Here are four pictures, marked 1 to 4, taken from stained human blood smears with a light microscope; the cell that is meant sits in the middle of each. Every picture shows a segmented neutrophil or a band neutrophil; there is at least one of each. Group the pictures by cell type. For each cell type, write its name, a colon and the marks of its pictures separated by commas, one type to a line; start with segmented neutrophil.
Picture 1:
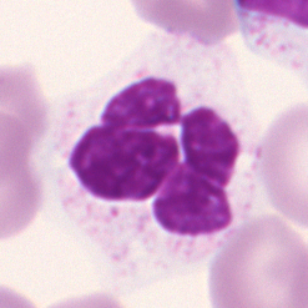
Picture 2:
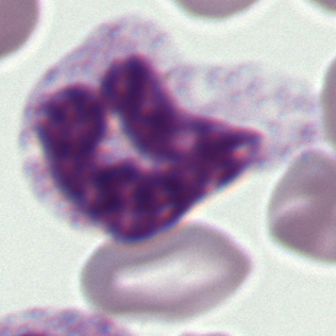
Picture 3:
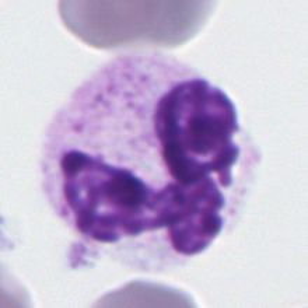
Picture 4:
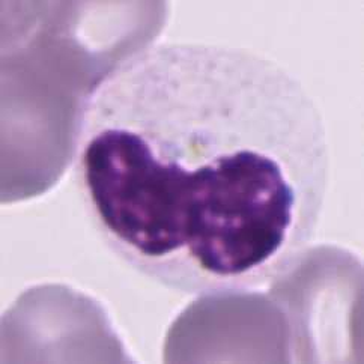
segmented neutrophil: 1, 2, 3
band neutrophil: 4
